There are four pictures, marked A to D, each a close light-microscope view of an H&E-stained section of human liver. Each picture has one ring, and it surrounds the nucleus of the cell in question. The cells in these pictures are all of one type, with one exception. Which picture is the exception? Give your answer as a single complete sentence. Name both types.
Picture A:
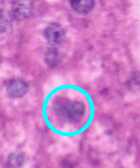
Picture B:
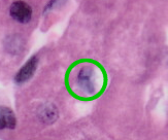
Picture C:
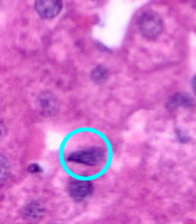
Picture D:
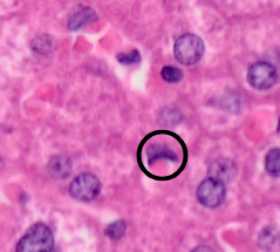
The others show endothelial cells, but picture C shows a “fibroblast or stellate cell”.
